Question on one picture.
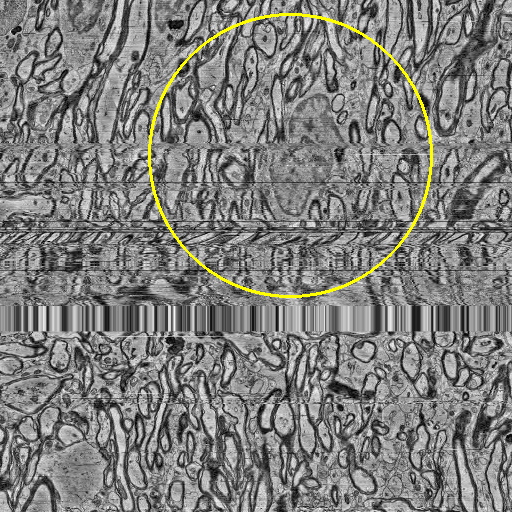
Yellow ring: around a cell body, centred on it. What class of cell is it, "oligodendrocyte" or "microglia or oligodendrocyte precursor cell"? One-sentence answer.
This is an oligodendrocyte, the cell the ring is centred on.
